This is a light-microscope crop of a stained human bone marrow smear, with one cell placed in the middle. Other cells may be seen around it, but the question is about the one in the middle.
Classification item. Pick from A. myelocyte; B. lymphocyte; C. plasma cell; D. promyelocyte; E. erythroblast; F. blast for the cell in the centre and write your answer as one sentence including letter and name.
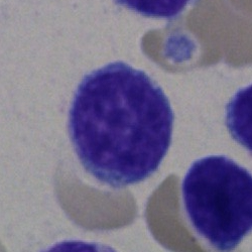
The correct identification, given in option B, is that the central cell is a lymphocyte.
